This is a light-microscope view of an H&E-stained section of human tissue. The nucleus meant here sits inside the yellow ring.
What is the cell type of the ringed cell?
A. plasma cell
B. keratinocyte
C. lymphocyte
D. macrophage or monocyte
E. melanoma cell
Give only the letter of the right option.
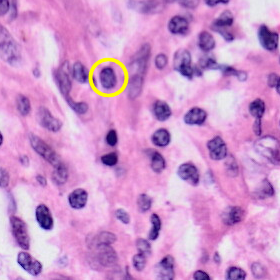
C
